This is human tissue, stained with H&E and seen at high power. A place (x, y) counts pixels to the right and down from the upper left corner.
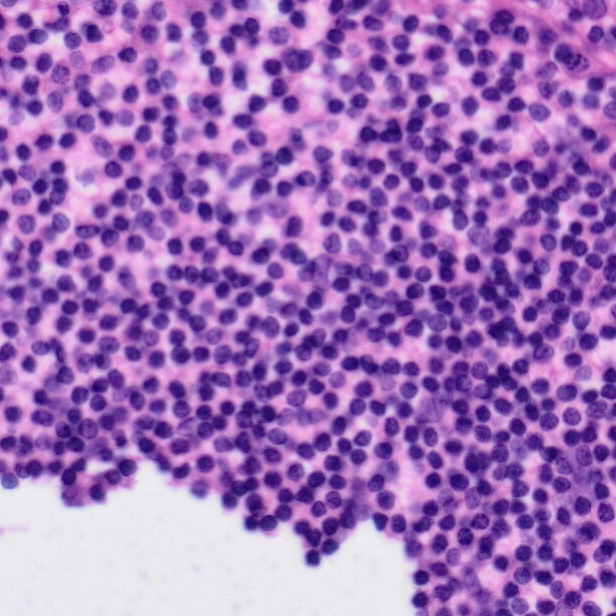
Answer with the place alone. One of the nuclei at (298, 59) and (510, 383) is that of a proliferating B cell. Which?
(298, 59)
